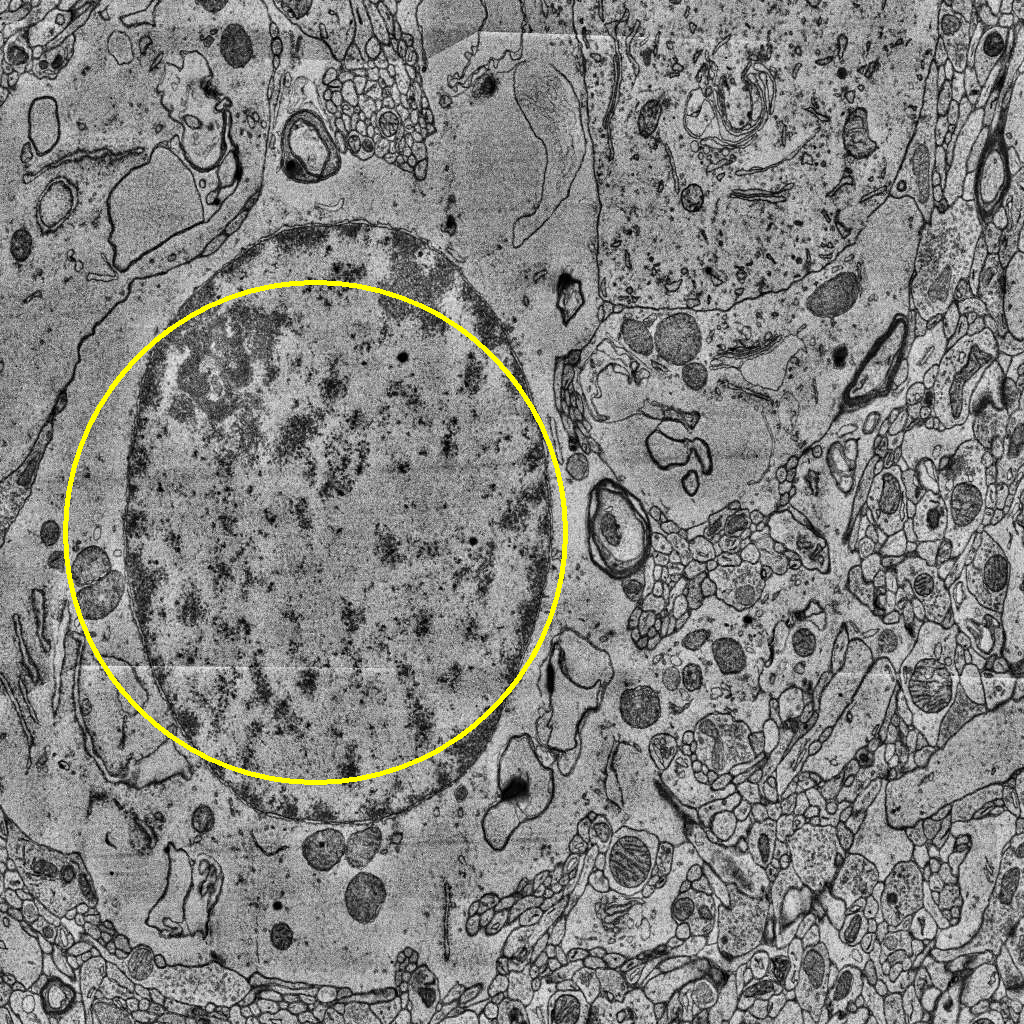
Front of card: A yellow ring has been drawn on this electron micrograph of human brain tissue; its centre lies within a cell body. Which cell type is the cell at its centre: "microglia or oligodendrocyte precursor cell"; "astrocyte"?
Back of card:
astrocyte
